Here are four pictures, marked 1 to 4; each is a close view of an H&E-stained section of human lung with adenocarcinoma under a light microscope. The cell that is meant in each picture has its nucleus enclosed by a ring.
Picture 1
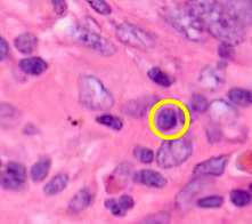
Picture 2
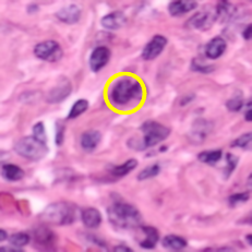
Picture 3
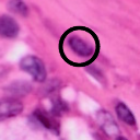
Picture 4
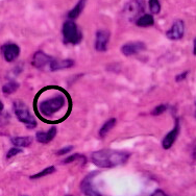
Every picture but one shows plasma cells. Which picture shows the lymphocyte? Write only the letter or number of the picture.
1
